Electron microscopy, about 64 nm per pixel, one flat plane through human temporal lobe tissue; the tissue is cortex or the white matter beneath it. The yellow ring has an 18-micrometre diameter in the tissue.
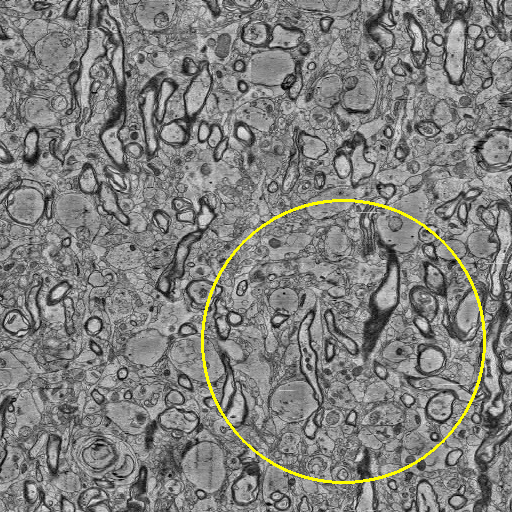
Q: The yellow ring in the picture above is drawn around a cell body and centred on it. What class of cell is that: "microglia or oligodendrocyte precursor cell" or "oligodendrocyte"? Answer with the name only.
microglia or oligodendrocyte precursor cell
